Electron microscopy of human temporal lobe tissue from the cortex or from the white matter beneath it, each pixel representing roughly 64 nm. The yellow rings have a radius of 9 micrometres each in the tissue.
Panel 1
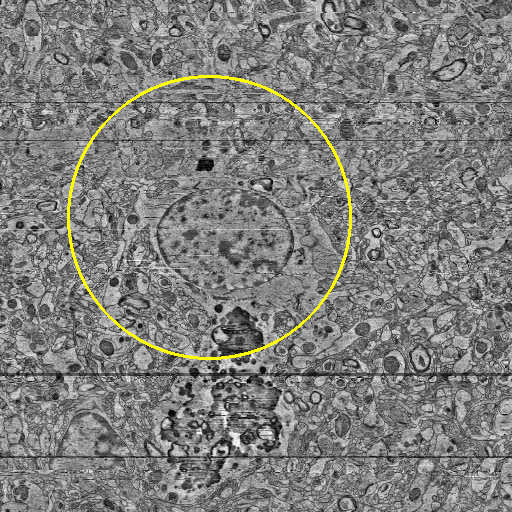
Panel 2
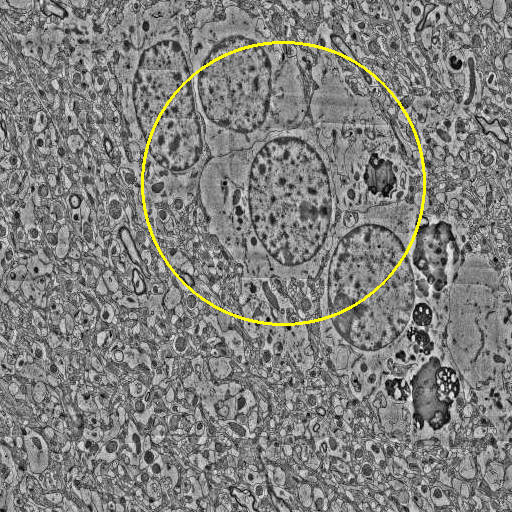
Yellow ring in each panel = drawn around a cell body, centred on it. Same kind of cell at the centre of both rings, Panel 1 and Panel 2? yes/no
yes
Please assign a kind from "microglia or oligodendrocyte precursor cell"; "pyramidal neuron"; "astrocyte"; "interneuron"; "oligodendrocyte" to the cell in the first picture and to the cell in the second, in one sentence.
Each cell, in the first picture and the second, is an astrocyte.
